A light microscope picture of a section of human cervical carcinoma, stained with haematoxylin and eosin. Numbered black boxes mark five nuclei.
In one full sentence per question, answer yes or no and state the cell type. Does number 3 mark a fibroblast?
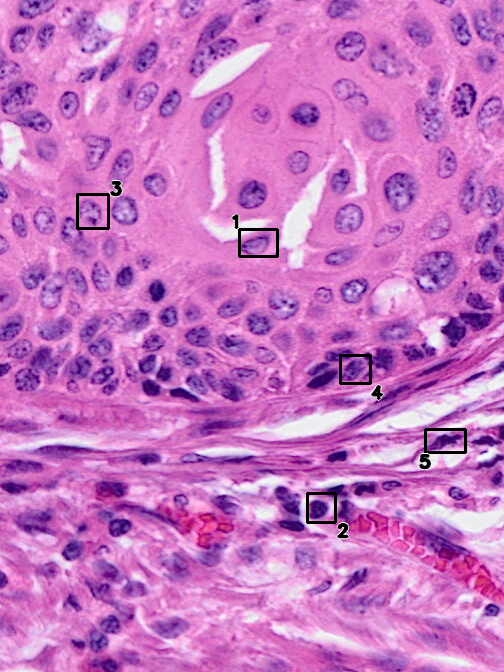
No, it is a squamous carcinoma cell that is marked with number 3, not a fibroblast.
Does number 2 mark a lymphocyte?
Yes, the cell that goes by number 2 is a lymphocyte.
